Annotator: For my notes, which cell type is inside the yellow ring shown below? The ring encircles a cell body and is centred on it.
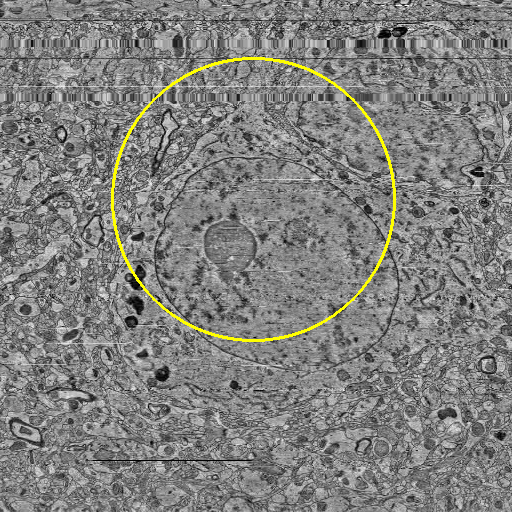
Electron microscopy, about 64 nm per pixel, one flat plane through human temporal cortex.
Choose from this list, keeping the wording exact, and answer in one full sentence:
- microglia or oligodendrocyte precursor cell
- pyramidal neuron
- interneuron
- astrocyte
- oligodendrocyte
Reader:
At the centre of the yellow ring there is a pyramidal neuron, as shown in the picture.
